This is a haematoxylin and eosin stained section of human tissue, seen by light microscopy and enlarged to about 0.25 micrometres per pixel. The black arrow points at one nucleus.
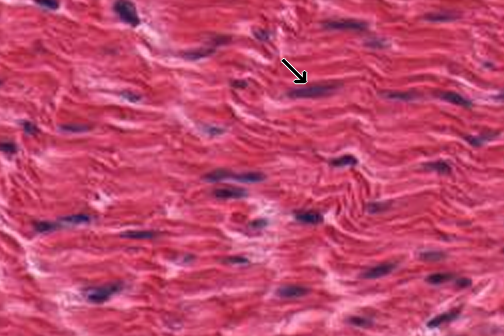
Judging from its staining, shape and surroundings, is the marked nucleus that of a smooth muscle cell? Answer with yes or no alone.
yes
